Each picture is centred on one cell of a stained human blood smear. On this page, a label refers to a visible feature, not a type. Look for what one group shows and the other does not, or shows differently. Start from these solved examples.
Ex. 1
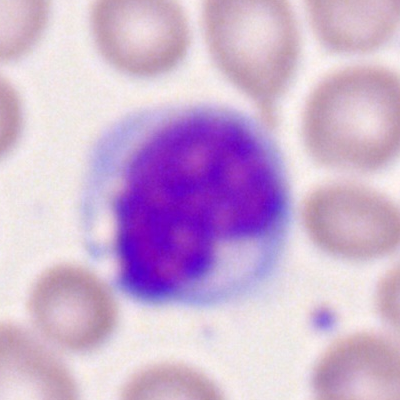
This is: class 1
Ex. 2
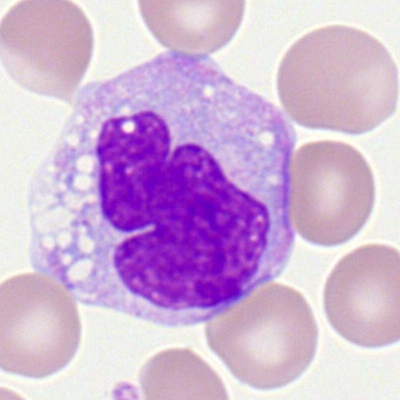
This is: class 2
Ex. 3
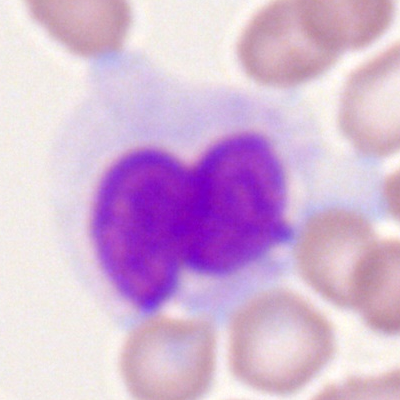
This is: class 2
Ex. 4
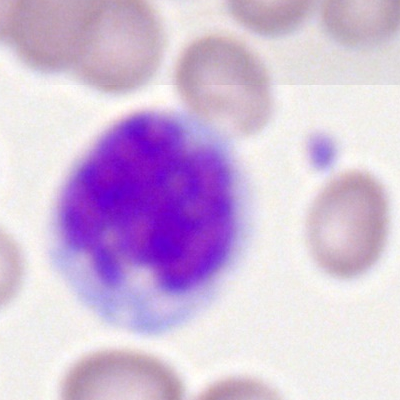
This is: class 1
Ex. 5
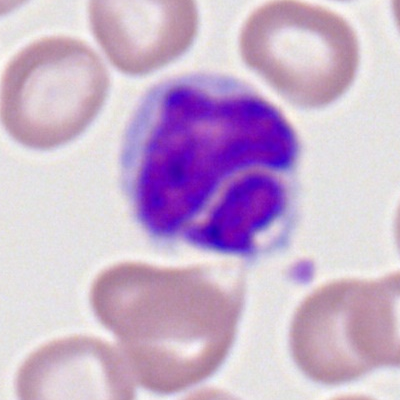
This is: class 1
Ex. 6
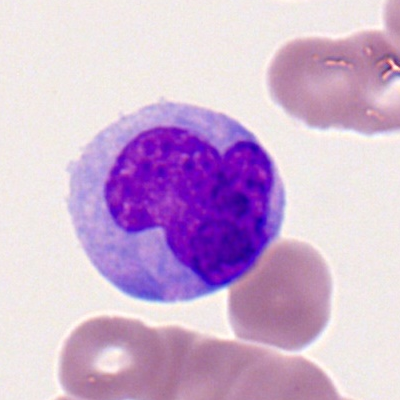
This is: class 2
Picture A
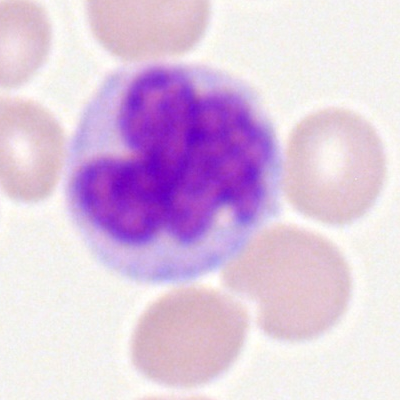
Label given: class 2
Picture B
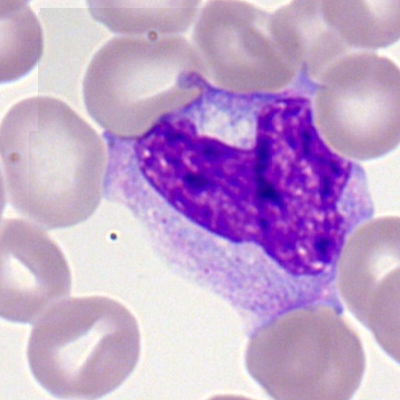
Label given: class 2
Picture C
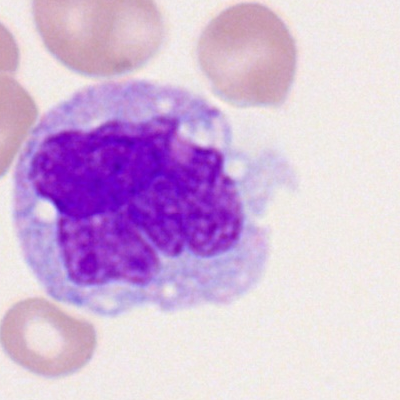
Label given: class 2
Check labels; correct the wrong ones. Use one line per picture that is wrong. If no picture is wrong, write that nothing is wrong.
A should be class 1, not class 2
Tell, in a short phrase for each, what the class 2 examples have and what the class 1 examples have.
class 2, abundant cytoplasm; class 1, scant cytoplasm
